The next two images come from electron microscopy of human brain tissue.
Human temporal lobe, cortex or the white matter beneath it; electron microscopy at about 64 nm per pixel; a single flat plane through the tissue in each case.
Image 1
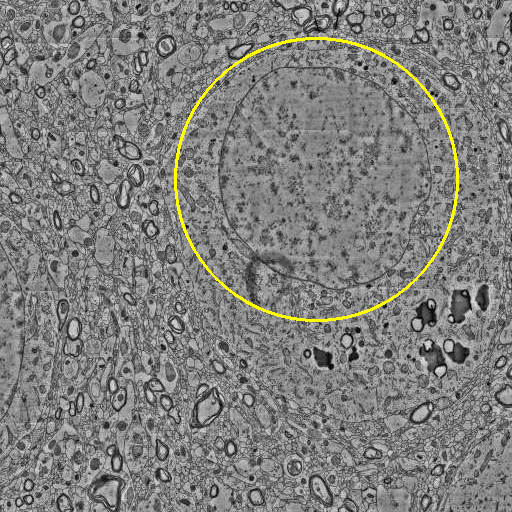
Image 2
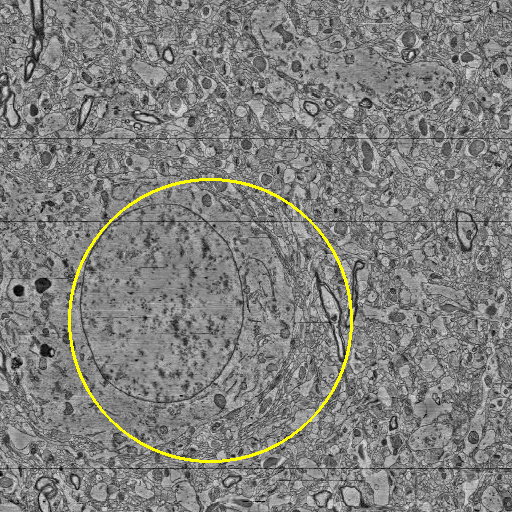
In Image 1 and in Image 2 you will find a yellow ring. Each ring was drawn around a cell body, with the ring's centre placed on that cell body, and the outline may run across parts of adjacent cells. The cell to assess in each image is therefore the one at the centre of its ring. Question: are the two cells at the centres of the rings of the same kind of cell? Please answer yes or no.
yes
